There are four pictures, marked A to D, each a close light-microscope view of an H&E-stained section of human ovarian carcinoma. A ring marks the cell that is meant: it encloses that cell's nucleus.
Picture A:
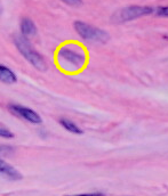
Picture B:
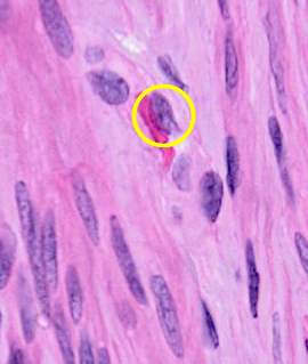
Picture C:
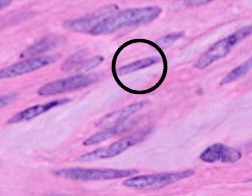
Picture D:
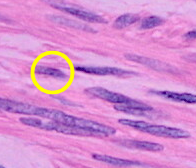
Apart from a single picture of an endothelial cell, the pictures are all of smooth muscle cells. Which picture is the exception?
B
